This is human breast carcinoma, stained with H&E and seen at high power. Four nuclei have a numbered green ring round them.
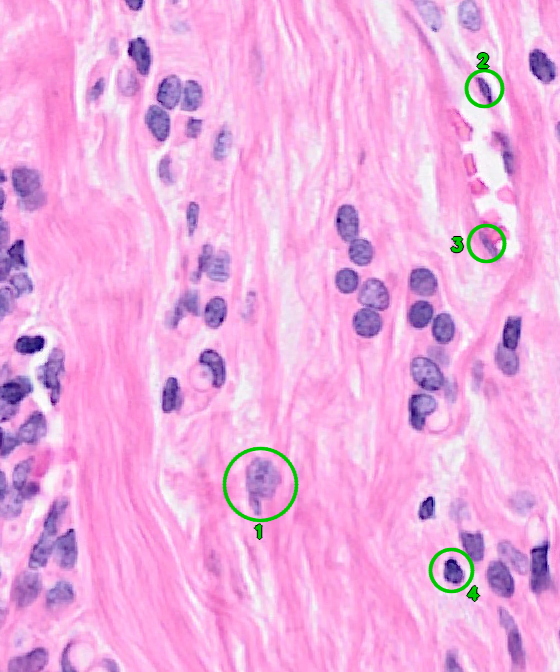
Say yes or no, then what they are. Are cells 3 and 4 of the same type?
No, as to type, cell 3 is an endothelial cell, and cell 4 is a lymphocyte.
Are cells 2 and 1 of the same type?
No, the cell bearing number 2 is an endothelial cell, while the one bearing number 1 is a fibroblast.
